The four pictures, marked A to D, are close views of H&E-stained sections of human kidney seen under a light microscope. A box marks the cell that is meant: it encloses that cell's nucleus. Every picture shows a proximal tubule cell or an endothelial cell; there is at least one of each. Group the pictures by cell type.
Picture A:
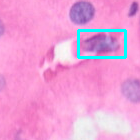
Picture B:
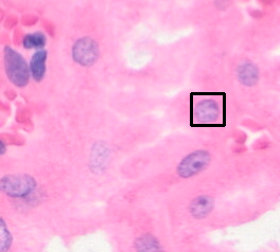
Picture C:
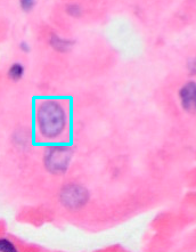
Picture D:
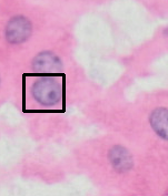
A: endothelial cell
B: proximal tubule cell
C: proximal tubule cell
D: proximal tubule cell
